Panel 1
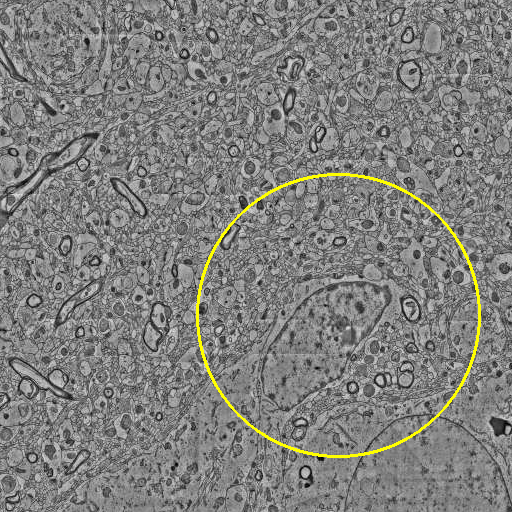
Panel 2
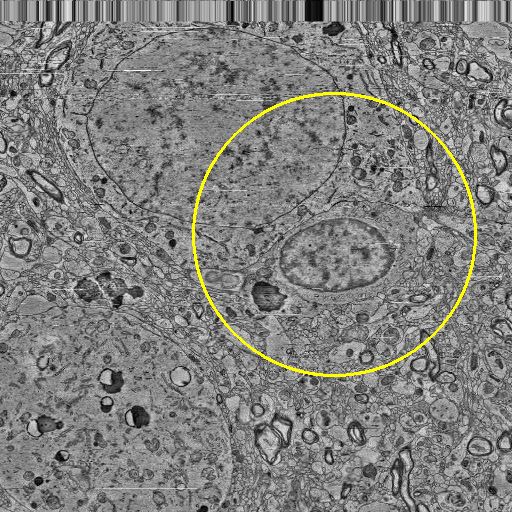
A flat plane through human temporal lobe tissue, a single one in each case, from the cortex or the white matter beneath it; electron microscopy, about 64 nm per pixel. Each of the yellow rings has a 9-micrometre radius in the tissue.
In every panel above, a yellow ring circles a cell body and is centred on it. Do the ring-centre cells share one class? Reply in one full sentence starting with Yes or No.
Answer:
No, the two cells at the ring centres in the panels belong to two classes.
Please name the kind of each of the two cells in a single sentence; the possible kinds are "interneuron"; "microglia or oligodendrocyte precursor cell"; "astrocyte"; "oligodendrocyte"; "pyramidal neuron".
In the first picture the ring is centred on a microglial cell or oligodendrocyte precursor cell, and in the second on an oligodendrocyte.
